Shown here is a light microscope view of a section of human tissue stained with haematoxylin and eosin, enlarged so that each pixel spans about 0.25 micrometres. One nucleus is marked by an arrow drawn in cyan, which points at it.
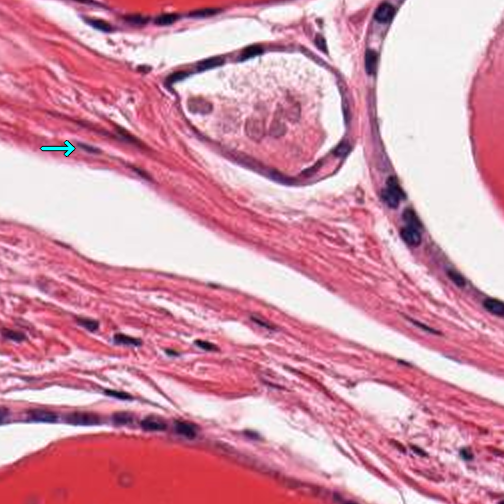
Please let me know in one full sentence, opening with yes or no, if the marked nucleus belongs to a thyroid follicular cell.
No, the marked nucleus is that of a supporting cell instead of a thyroid follicular cell.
